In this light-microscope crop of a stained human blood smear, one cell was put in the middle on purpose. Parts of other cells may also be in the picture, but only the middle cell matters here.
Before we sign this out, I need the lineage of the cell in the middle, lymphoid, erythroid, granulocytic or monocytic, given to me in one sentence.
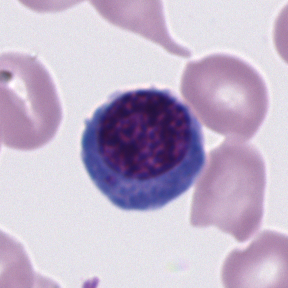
Lineage designation for the cell in the middle reads erythroid.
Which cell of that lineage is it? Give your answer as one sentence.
The cell featured at the centre of this crop is a normoblast.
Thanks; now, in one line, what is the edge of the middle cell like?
Smooth outline, no projections: that is the whole story of its edge.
